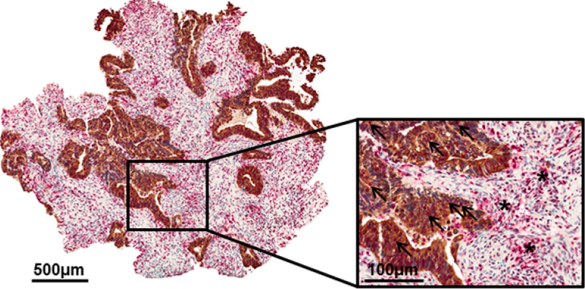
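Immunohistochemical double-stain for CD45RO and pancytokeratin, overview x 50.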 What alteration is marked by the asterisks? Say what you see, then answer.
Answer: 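The asterisks sit in the stroma beside the brown epithelium. Many small red-stained cells are scattered around the asterisks.
Conclusion: Stromal infiltrates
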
